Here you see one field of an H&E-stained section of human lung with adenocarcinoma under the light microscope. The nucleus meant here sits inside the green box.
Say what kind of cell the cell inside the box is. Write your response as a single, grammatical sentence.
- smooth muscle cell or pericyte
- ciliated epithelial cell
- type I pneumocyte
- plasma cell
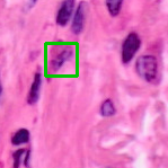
In the tissue under study, the cell inside the box is a plasma cell.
